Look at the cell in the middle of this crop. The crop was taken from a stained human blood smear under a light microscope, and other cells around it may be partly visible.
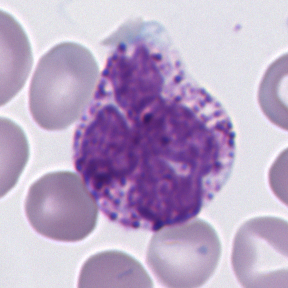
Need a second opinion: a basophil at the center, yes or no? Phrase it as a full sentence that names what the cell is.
Yes, the cell of interest in the middle is a basophil.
